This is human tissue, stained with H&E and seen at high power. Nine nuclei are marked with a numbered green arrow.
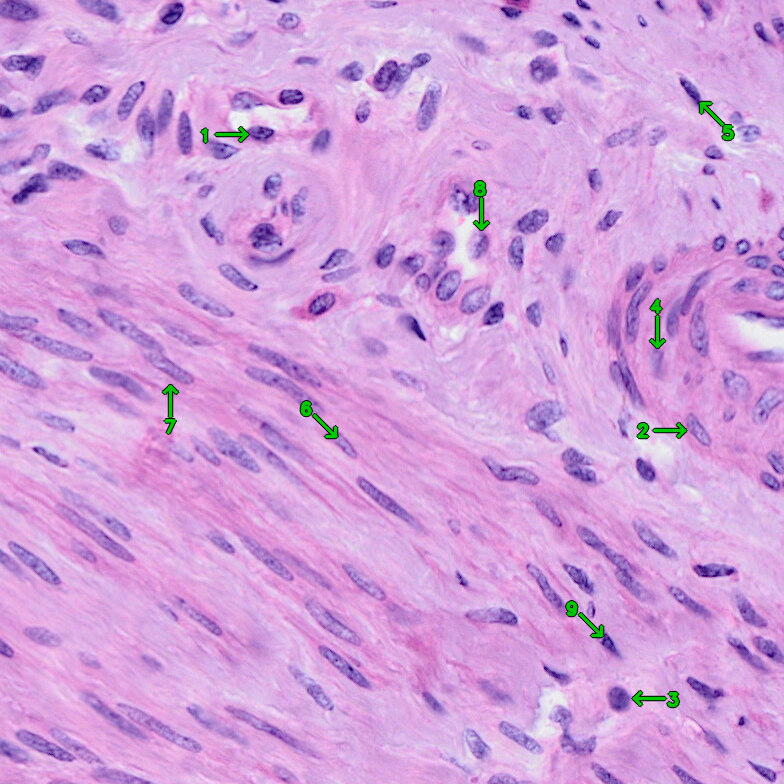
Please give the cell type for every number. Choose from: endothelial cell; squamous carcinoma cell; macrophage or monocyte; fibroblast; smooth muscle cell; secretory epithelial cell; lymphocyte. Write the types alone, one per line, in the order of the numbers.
endothelial cell
smooth muscle cell
lymphocyte
smooth muscle cell
fibroblast
smooth muscle cell
smooth muscle cell
endothelial cell
fibroblast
